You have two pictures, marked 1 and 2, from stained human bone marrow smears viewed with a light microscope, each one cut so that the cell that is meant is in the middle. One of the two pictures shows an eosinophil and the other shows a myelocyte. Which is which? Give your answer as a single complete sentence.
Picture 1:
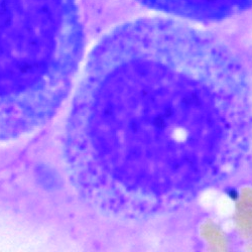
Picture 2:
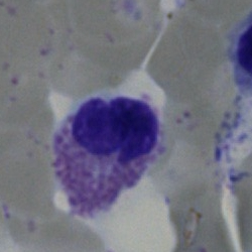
Picture 1 is of a myelocyte, and picture 2 is of an eosinophil.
